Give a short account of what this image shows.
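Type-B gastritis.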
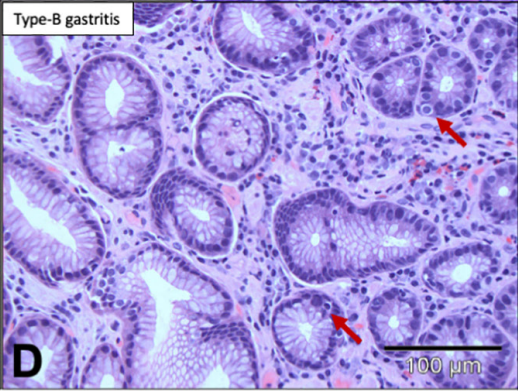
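Gastric mucosa with glands cut mostly in cross-section, lined by columnar epithelial cells with basal dark nuclei and pale cytoplasm around open lumina. Occasional single small round bodies with clear halos lie within the glandular epithelium, consistent with isolated apoptotic cells. The stroma between the glands contains scattered inflammatory cells and small vessels.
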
